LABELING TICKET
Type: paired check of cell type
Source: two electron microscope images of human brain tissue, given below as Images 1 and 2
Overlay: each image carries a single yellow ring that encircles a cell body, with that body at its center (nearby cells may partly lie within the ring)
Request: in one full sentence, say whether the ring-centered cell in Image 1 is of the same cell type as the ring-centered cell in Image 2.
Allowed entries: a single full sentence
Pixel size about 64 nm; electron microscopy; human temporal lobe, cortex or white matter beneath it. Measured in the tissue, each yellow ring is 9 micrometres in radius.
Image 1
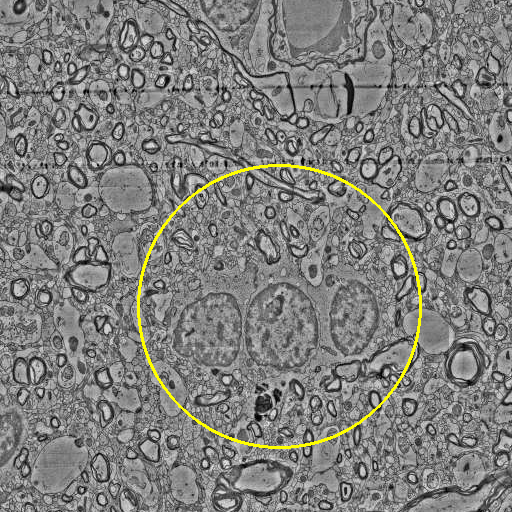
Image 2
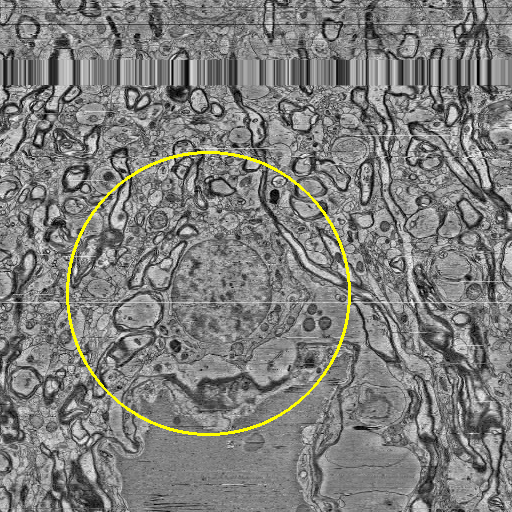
Yes, the cells centered in the rings of Image 1 and Image 2 share one type.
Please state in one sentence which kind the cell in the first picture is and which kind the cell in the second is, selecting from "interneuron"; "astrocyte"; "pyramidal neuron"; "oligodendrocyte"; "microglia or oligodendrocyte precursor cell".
The second cell is an oligodendrocyte, just as the first is.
